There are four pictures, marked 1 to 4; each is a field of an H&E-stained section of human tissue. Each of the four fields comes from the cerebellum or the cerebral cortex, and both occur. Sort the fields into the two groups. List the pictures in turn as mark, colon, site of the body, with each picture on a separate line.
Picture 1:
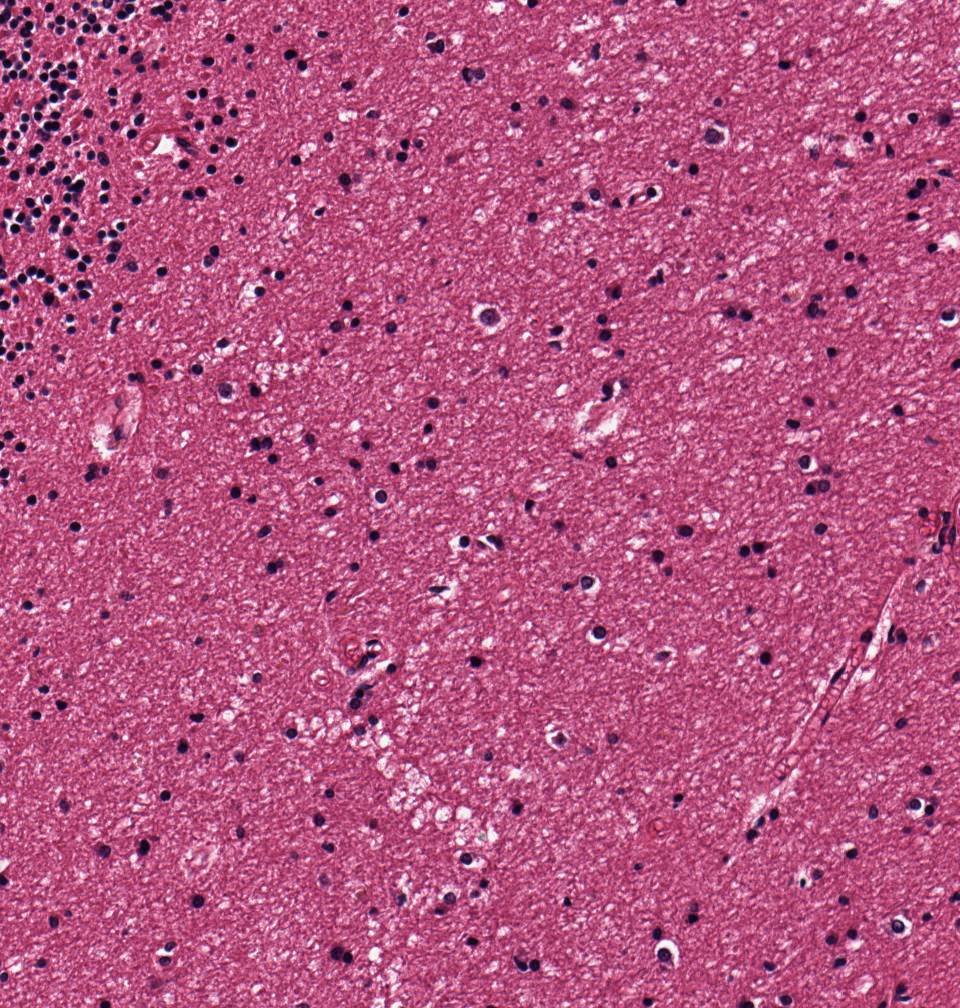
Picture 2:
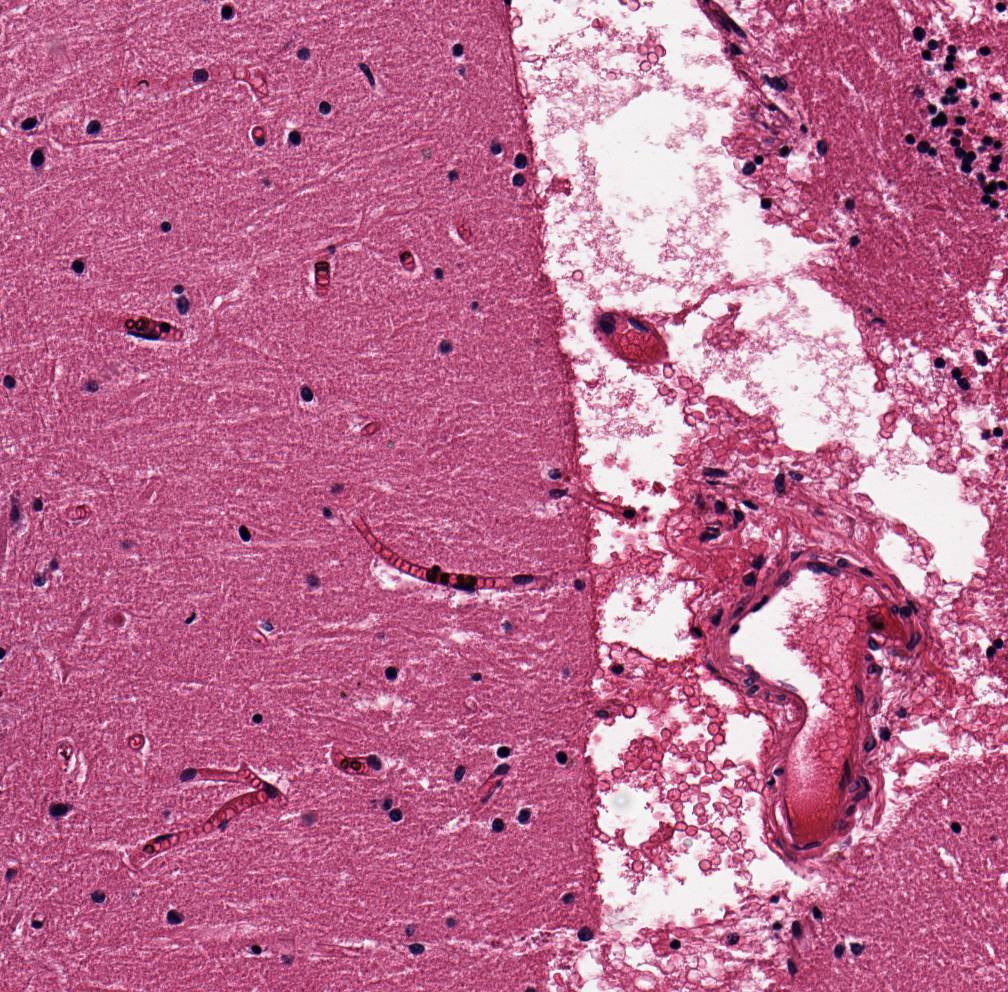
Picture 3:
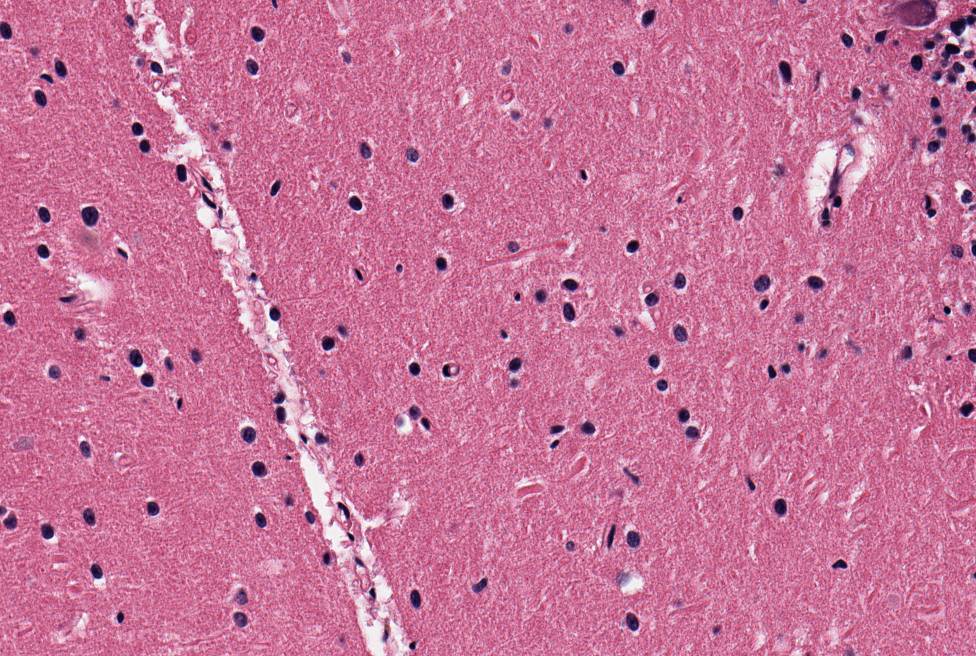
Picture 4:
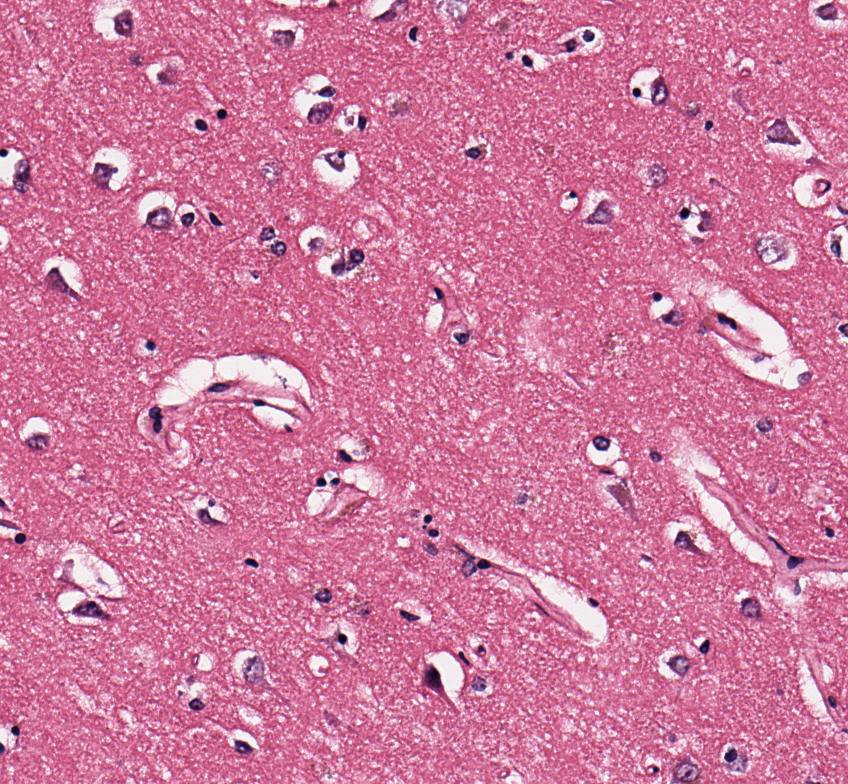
1: cerebellum
2: cerebellum
3: cerebellum
4: cerebral cortex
